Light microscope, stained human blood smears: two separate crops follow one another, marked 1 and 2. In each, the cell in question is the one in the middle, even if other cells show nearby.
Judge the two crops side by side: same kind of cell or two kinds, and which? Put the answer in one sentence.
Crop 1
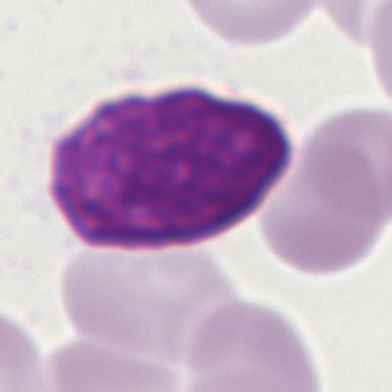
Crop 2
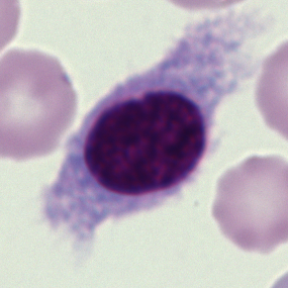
No, whereas crop 1 shows a smudge cell, crop 2 shows a hairy cell.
